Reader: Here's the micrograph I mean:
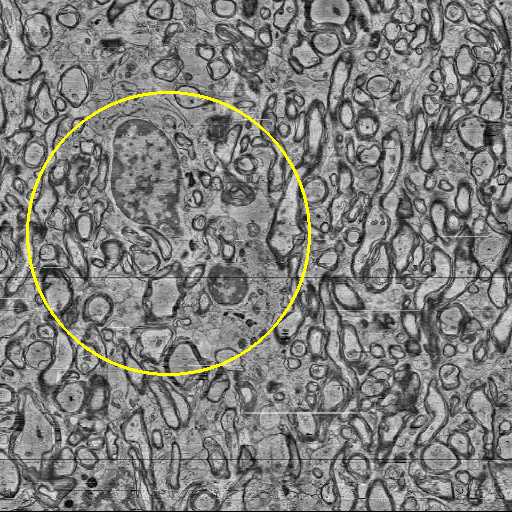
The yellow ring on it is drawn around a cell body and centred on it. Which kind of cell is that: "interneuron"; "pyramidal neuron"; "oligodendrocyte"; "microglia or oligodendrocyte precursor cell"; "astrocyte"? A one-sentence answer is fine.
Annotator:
The ring is centred on a microglial cell or oligodendrocyte precursor cell.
